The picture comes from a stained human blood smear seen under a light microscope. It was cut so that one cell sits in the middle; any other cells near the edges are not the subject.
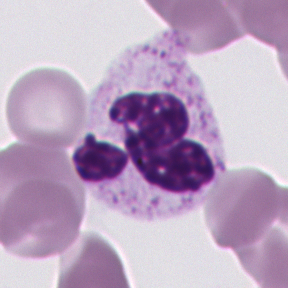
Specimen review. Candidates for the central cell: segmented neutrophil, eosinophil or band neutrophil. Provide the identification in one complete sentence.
The cell in the exact centre of the crop is a segmented neutrophil.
